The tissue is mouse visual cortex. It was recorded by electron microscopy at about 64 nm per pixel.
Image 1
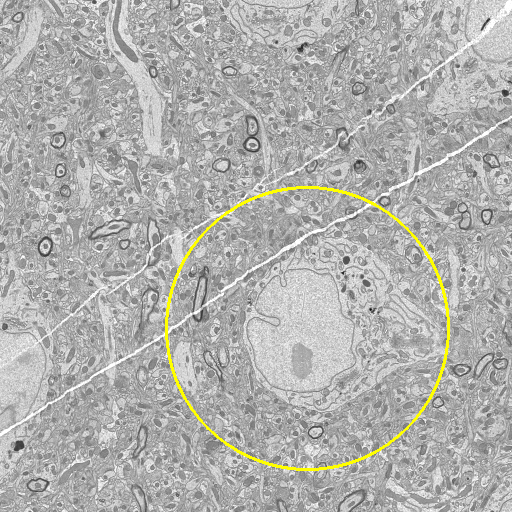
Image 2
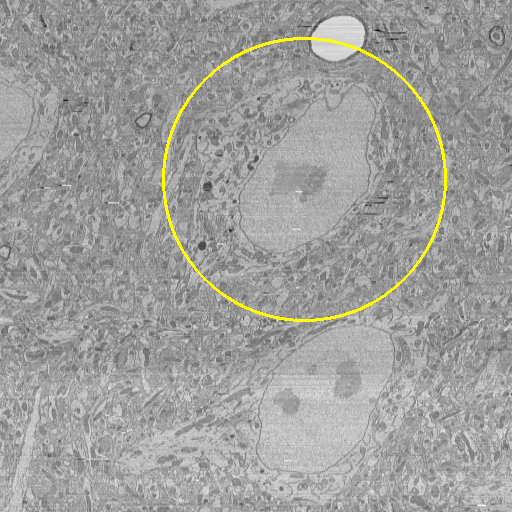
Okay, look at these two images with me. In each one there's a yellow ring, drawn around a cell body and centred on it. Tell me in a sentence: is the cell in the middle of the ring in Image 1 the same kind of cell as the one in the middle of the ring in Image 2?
Yes, they're the same kind of cell.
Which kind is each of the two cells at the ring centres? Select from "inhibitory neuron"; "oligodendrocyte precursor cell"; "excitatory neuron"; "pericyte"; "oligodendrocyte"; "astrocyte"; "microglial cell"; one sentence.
In each of the two pictures, the ringed cell is an inhibitory neuron.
